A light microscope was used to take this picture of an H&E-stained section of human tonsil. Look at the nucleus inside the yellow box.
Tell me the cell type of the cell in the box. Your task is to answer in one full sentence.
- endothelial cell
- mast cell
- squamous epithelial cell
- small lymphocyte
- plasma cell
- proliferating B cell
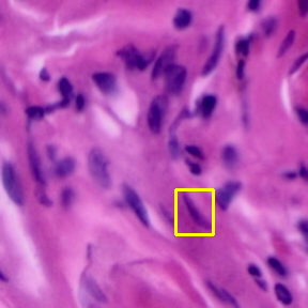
In cellular terms, the cell in the box is an endothelial cell.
